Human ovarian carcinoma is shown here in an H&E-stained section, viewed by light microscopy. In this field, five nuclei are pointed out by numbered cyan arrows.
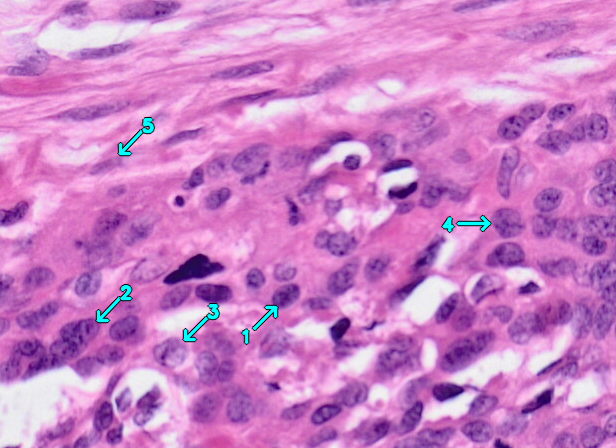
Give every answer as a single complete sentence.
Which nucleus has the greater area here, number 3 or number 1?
Nucleus 3 covers more area, about 1.5 times as much as nucleus 1.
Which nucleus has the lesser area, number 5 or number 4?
Nucleus 5 covers less area, with nucleus 4 about 2.5 times as large.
